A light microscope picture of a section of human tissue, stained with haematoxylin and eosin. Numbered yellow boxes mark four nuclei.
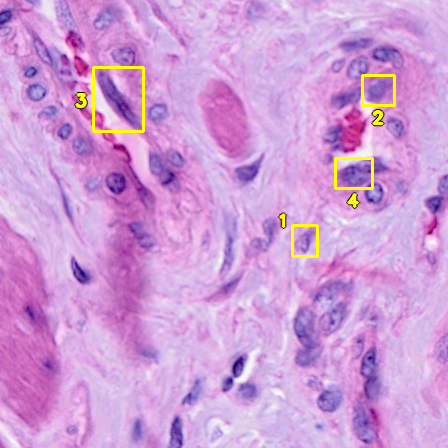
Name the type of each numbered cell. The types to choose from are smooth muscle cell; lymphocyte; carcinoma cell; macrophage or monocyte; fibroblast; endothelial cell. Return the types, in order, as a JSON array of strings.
["fibroblast", "endothelial cell", "endothelial cell", "endothelial cell"]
